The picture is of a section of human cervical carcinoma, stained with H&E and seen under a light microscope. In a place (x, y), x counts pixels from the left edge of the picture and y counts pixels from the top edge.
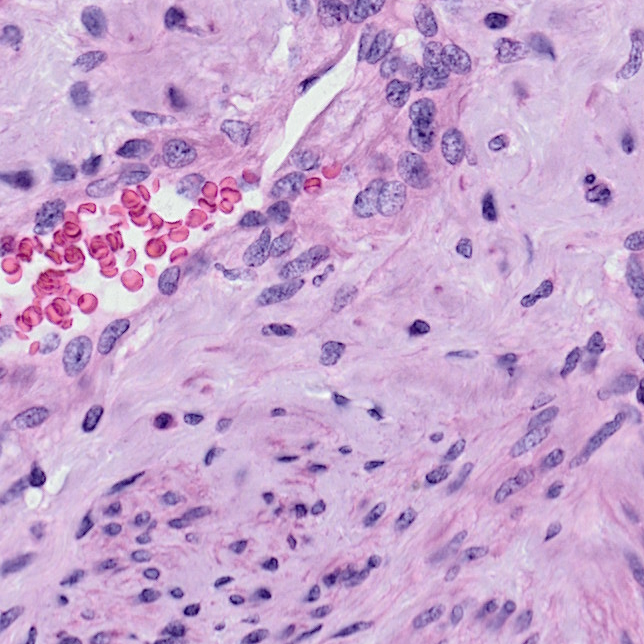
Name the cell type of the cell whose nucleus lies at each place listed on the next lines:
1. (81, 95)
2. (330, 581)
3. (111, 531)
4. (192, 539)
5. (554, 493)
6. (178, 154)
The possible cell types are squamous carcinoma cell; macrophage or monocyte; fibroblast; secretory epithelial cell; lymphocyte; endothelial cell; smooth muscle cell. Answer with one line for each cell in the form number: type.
1: fibroblast
2: smooth muscle cell
3: smooth muscle cell
4: smooth muscle cell
5: smooth muscle cell
6: endothelial cell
